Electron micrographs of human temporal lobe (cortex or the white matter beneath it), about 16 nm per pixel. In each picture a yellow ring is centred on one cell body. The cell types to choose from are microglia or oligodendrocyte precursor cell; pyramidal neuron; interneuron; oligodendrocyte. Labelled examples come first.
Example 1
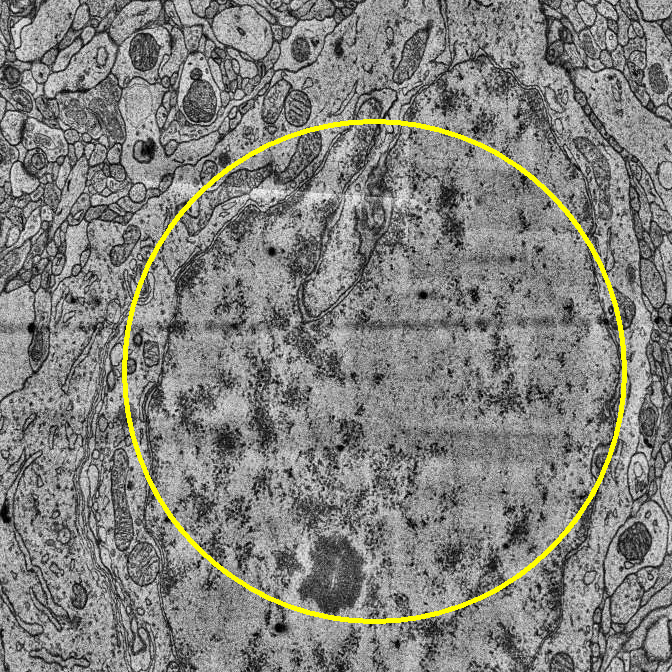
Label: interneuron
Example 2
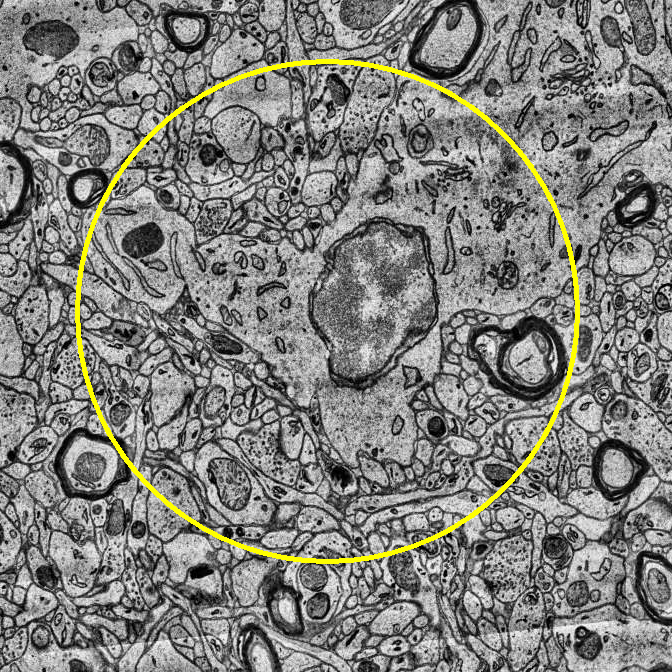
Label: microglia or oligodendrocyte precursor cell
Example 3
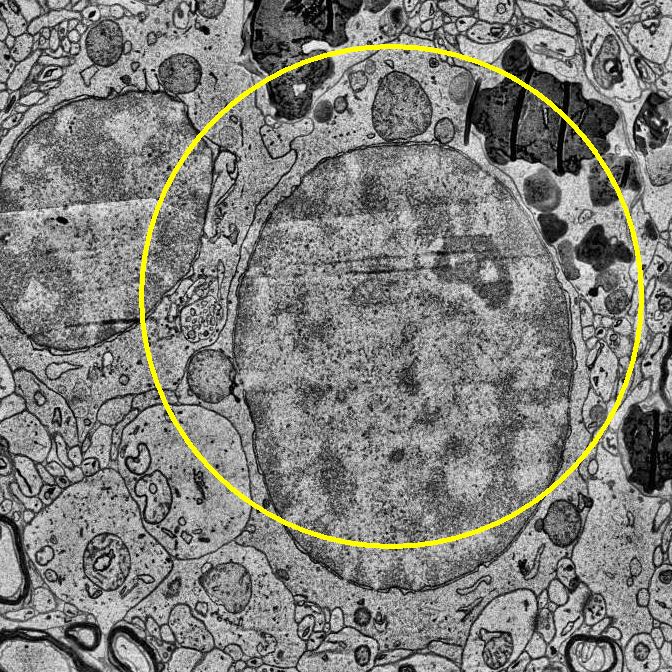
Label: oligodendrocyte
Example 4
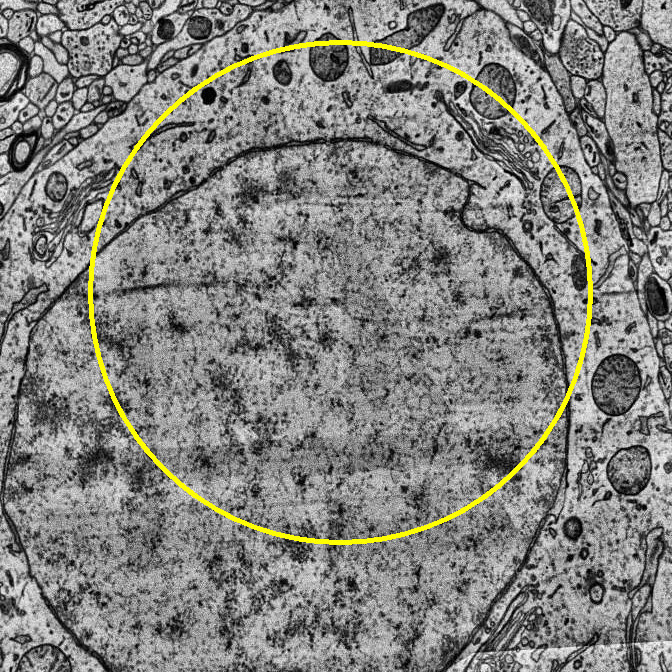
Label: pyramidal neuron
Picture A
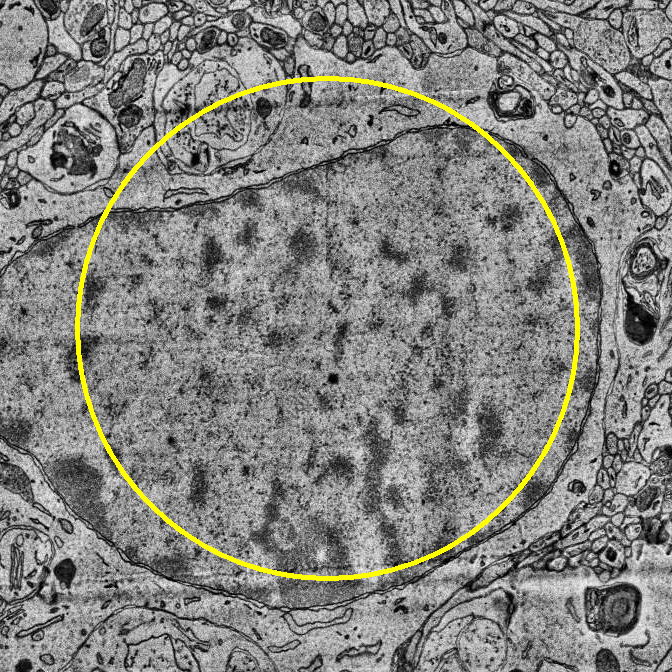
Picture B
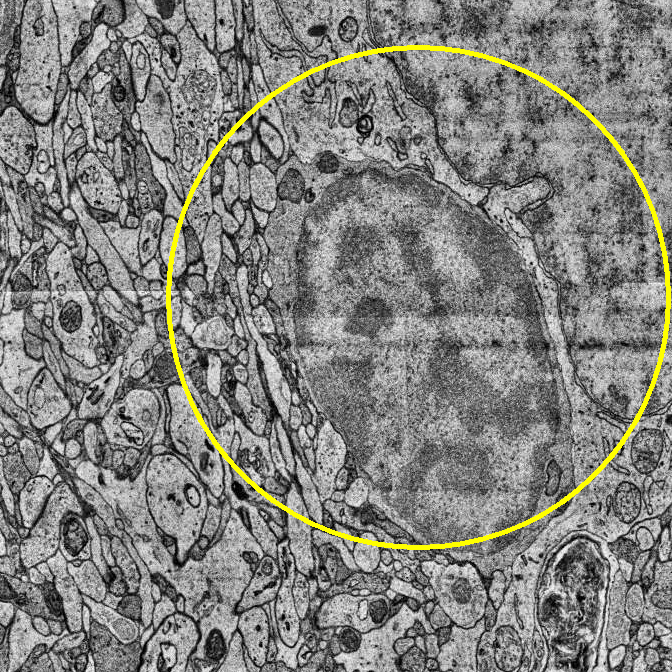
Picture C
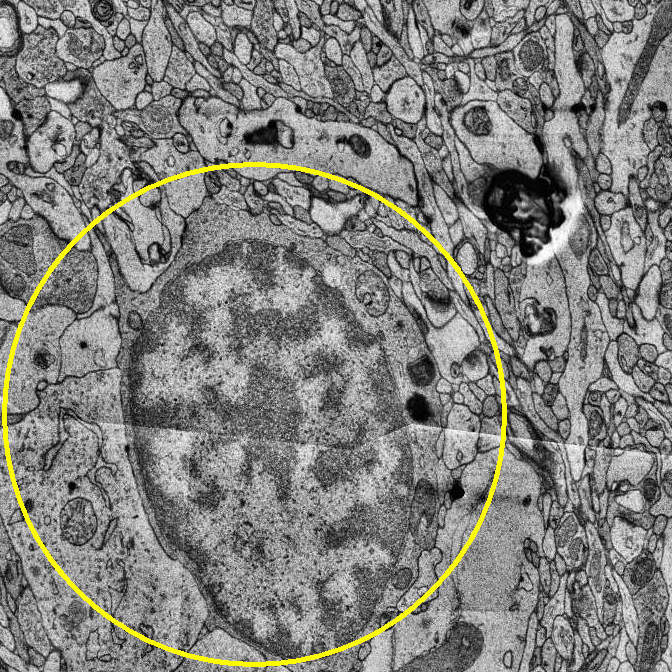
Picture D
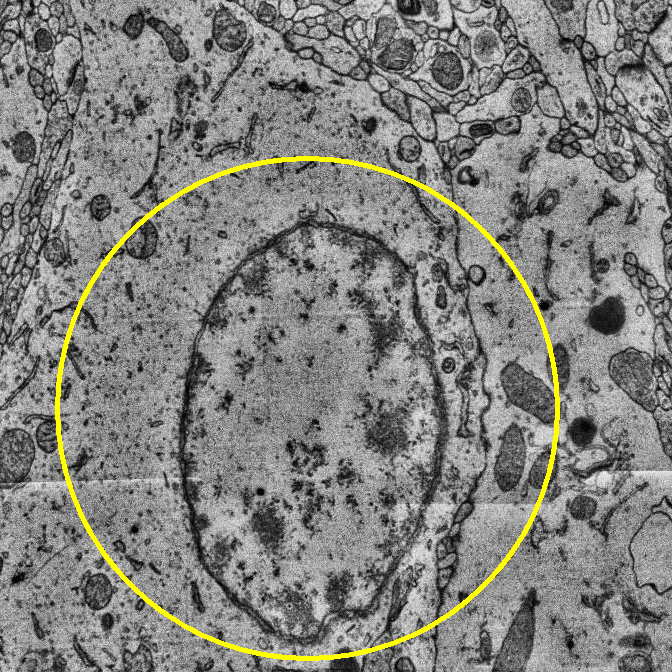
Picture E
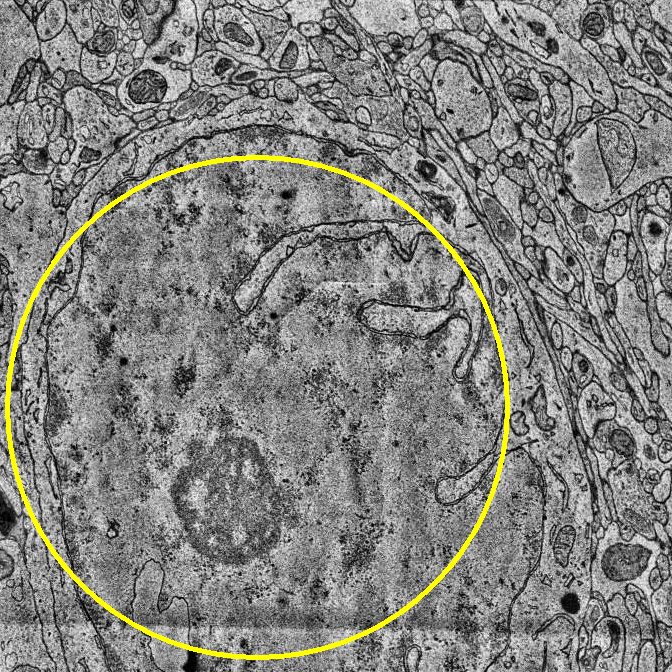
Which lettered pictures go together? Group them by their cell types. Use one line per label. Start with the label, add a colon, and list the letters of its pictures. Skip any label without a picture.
microglia or oligodendrocyte precursor cell: A
pyramidal neuron: D
interneuron: E
oligodendrocyte: B, C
